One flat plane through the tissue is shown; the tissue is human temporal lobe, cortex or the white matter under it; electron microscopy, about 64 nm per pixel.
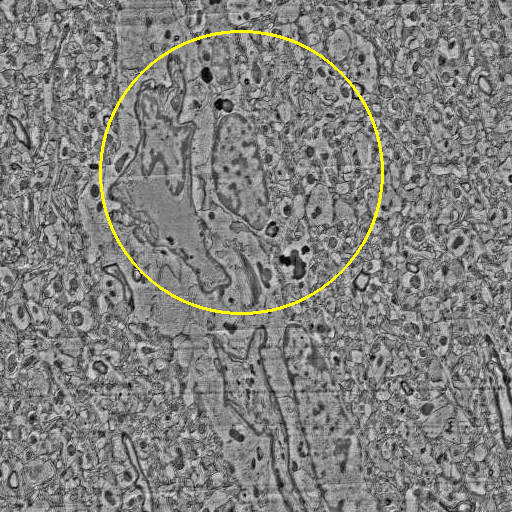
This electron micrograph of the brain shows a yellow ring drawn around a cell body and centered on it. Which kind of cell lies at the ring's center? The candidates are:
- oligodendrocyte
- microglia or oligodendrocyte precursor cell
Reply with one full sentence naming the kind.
The cell lying at the ring's center in this micrograph is a microglial cell or oligodendrocyte precursor cell.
